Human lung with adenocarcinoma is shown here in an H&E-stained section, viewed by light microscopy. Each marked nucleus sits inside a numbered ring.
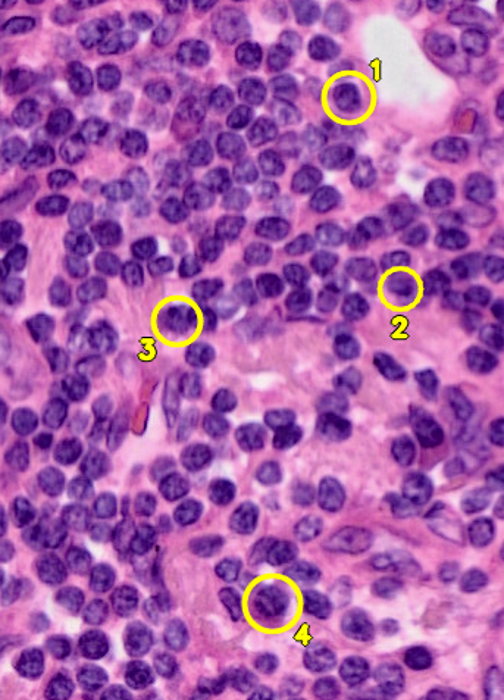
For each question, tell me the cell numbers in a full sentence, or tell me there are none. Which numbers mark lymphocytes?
Classified as lymphocytes are the cells numbered 1, 2 and 3.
